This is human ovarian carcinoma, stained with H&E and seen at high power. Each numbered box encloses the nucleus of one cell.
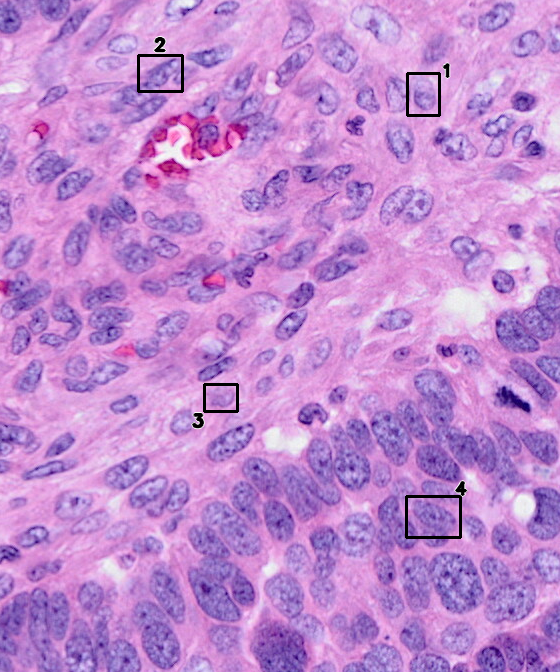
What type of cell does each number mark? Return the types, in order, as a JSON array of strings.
["fibroblast", "fibroblast", "fibroblast", "carcinoma cell"]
